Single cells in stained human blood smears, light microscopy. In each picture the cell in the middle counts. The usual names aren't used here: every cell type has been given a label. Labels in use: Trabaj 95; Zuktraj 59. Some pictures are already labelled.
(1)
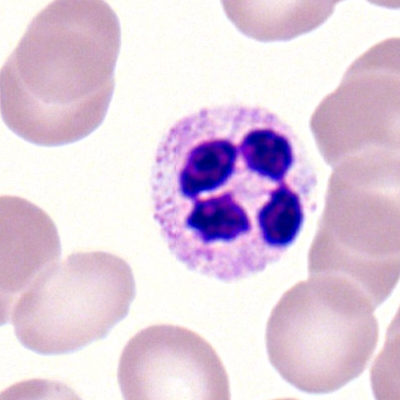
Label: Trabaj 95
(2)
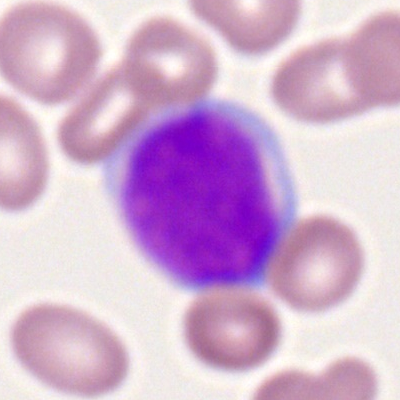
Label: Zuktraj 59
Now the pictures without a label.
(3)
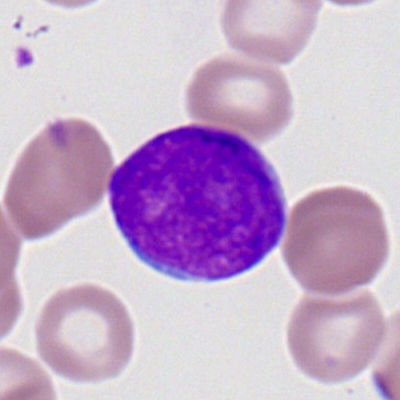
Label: Zuktraj 59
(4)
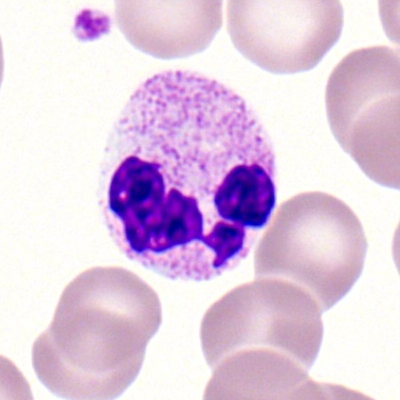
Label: Trabaj 95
